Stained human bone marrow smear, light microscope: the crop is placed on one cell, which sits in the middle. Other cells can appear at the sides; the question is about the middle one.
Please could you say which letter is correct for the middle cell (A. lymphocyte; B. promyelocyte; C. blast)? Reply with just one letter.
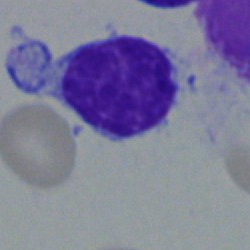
A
